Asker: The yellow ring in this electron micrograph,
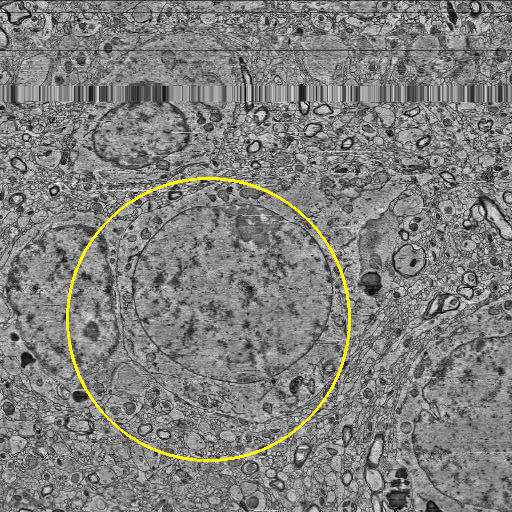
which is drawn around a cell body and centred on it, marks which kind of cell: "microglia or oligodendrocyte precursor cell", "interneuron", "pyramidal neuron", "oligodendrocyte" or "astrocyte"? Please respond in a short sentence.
The marked cell is a pyramidal neuron.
